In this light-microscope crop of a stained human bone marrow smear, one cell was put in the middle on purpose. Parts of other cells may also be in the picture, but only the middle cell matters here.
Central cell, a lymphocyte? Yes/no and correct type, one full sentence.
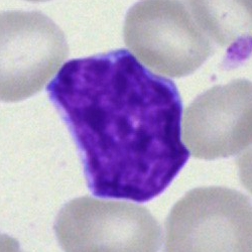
No, the central cell is classed as a blast, not a lymphocyte.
